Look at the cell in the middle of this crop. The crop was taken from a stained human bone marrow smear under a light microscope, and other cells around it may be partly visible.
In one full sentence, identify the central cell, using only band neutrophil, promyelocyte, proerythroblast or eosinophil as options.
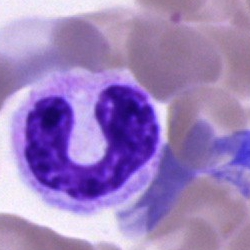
On this slide crop, the central cell is a band neutrophil.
